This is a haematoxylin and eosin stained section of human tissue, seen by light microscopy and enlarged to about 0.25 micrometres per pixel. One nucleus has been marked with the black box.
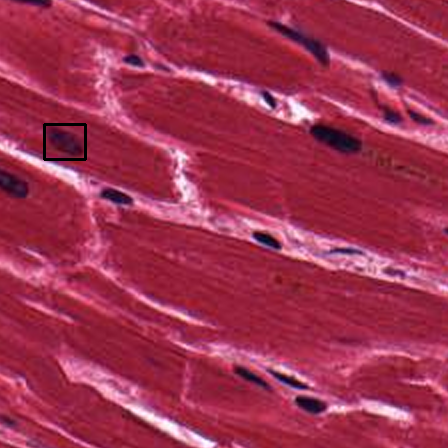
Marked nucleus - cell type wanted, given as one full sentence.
The marked nucleus is recognized as the nucleus of a cardiomyocyte.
